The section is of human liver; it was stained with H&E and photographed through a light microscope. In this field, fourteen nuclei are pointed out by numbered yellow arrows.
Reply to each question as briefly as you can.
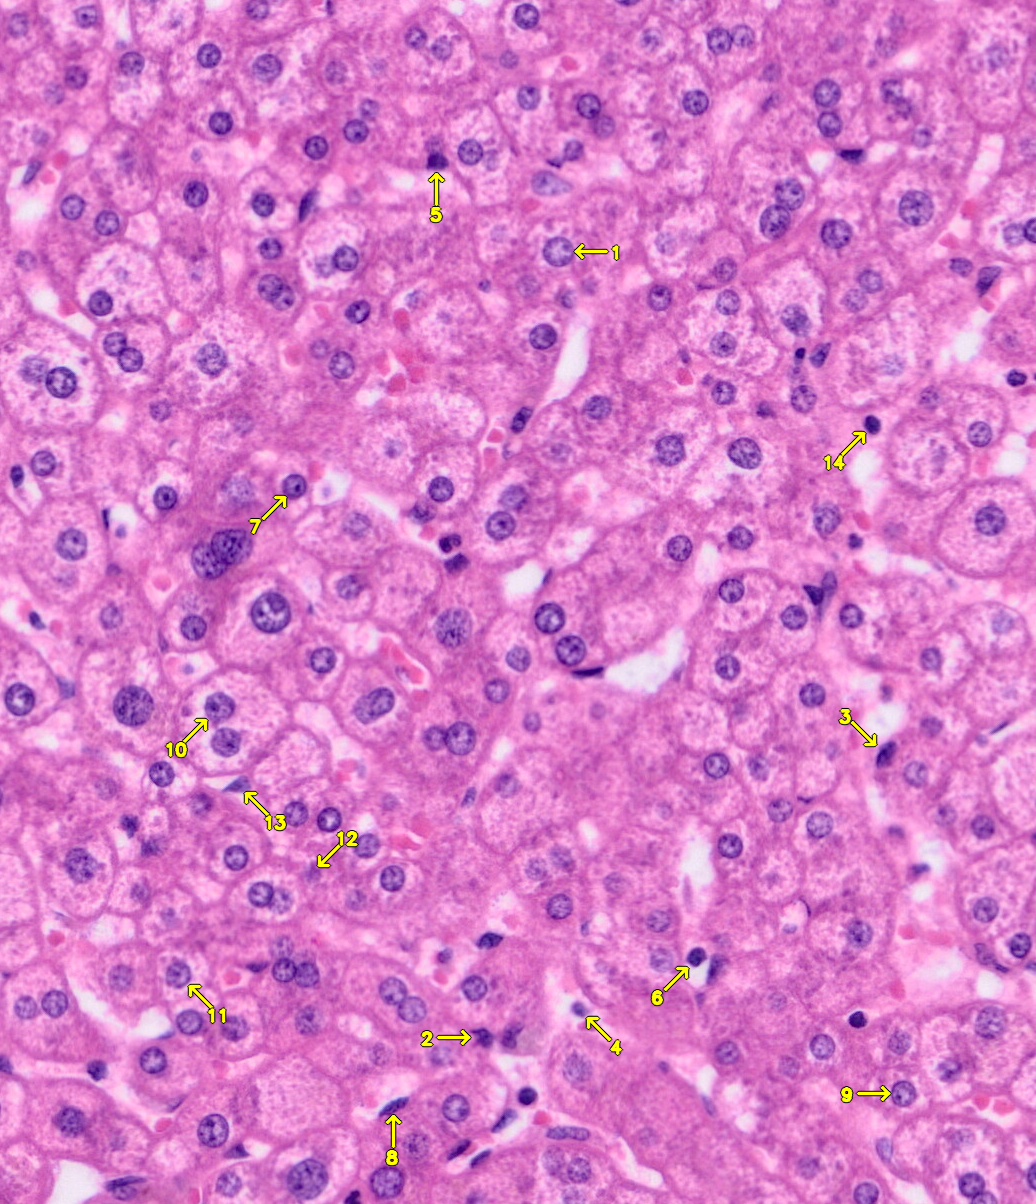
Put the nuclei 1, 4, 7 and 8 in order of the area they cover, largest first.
1, 7, 8, 4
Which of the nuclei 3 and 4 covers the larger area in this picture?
3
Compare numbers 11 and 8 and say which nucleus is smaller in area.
8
